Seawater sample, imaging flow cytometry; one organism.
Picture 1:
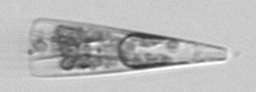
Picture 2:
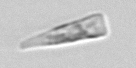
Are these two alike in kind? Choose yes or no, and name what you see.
Yes. Licmophora.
